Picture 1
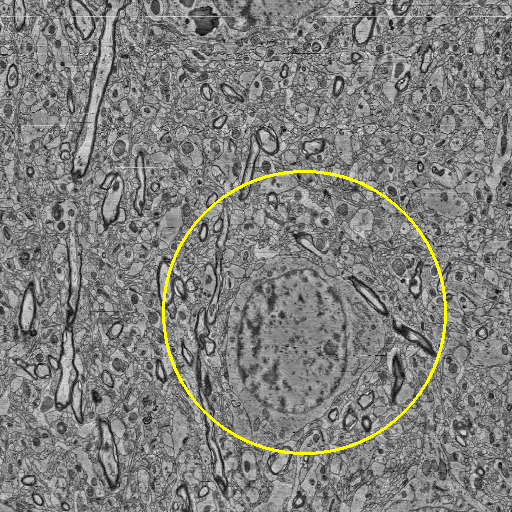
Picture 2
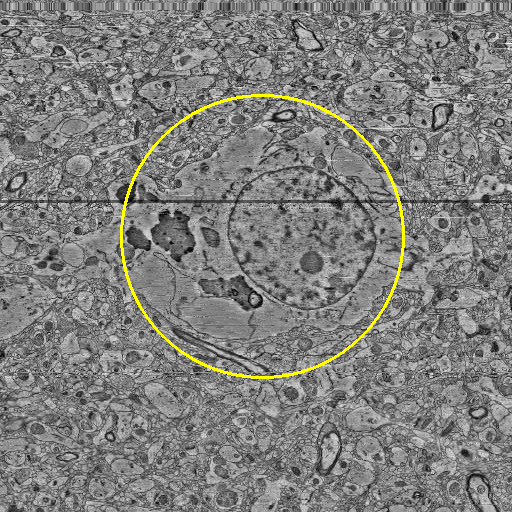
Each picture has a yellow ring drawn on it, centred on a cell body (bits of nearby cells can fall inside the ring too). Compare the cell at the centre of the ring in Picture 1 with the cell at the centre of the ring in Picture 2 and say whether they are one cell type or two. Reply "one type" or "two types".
two types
